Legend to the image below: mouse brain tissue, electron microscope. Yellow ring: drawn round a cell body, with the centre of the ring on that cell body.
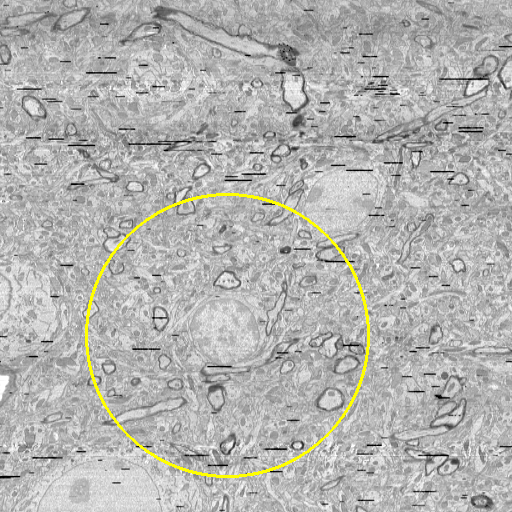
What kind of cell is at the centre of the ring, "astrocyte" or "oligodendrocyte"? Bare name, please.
oligodendrocyte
